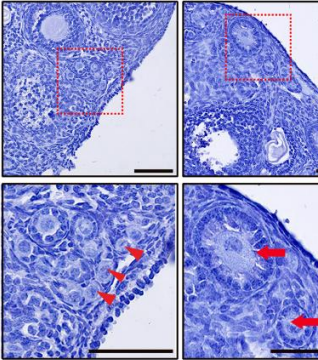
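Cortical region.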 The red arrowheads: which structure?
Primordial follicles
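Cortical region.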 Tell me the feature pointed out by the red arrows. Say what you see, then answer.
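These follicles are larger than the small follicles near the surface.
Growing follicles.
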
